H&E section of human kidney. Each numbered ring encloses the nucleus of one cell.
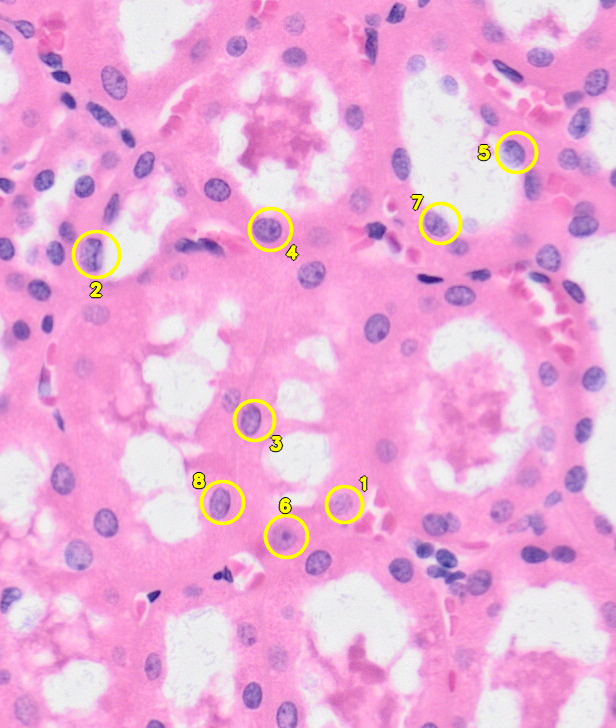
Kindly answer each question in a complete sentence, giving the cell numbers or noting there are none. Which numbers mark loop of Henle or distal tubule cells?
The cells with the number labels 2, 5 and 7 are loop of Henle or distal tubule cells.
